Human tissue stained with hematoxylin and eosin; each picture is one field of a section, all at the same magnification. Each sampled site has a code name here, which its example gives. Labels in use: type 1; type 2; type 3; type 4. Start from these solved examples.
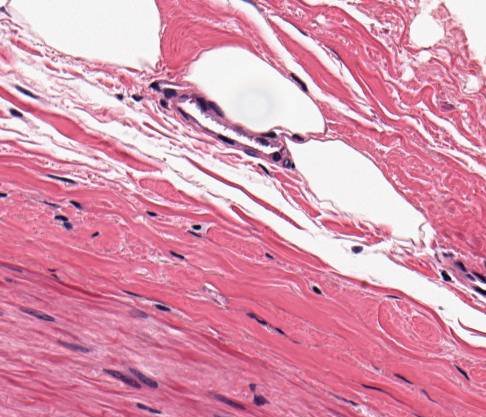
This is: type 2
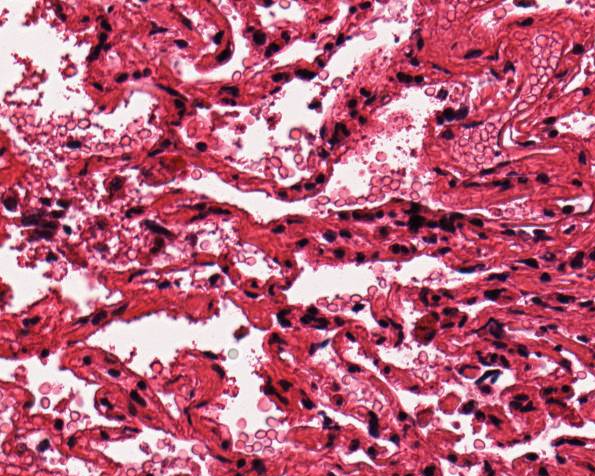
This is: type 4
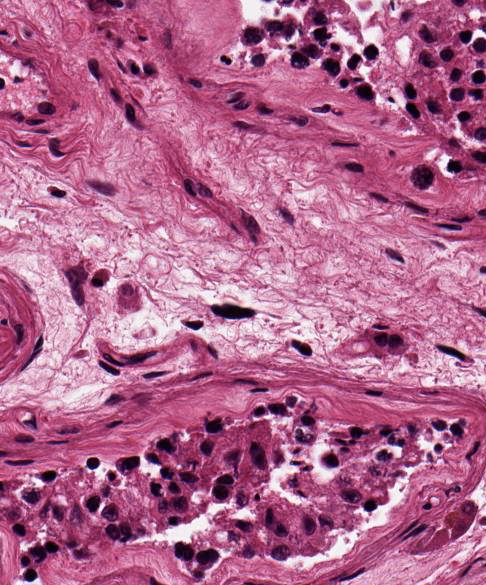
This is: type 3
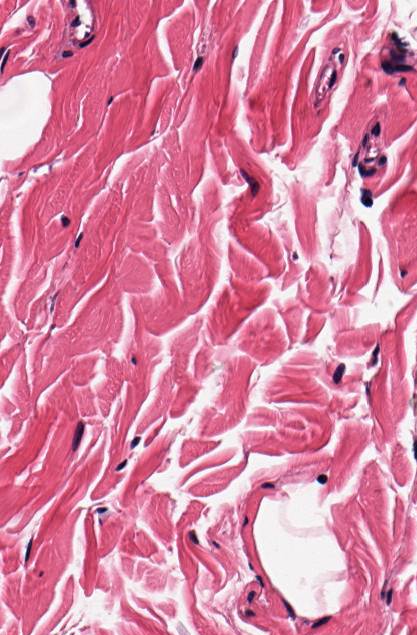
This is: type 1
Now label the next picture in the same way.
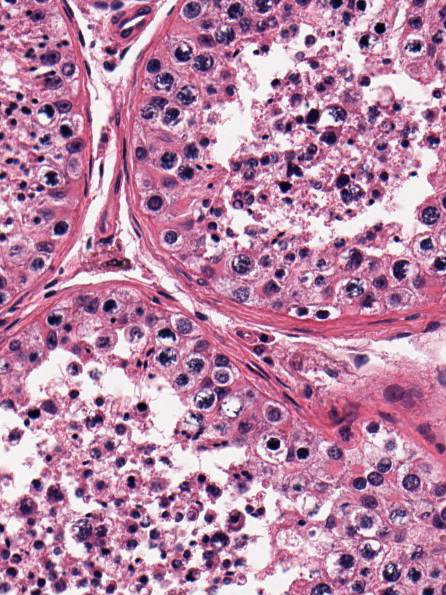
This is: type 3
